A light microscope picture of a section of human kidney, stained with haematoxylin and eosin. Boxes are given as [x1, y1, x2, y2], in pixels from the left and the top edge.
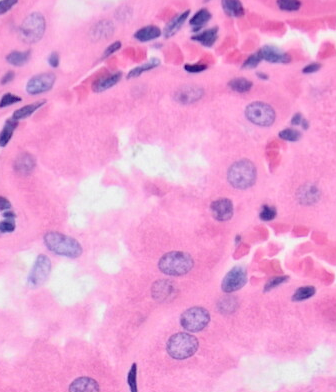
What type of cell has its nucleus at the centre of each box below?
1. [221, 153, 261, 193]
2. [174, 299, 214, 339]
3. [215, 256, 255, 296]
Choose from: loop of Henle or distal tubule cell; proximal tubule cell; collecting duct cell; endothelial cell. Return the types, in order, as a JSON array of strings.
["proximal tubule cell", "proximal tubule cell", "endothelial cell"]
